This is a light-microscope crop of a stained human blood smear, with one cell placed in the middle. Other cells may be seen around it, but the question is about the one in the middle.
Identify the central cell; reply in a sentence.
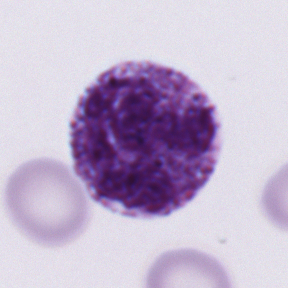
The cell the crop is centered on is a basophil.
